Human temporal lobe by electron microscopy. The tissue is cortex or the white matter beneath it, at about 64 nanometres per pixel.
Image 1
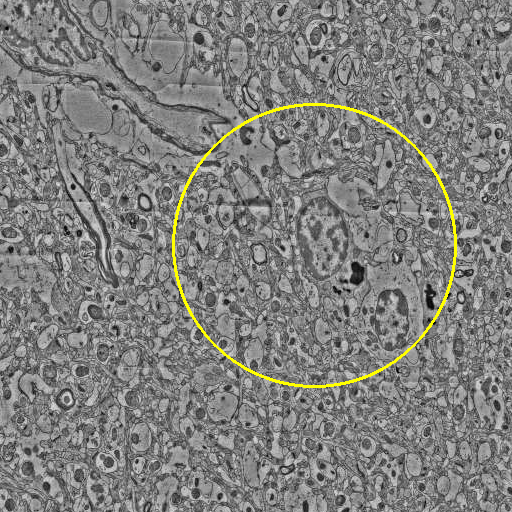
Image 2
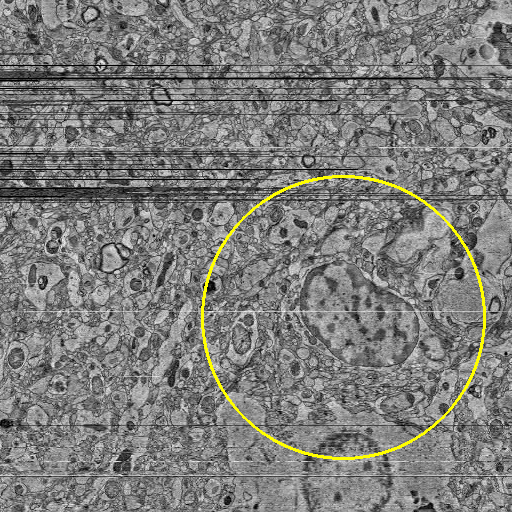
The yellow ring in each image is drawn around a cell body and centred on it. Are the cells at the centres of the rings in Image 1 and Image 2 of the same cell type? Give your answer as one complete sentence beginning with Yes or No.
No, the two cells are of two separate types.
